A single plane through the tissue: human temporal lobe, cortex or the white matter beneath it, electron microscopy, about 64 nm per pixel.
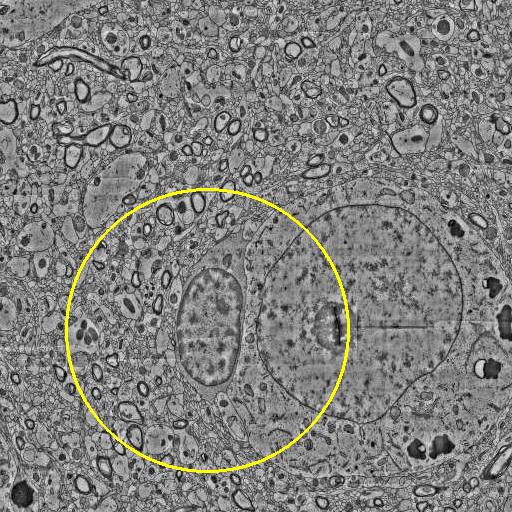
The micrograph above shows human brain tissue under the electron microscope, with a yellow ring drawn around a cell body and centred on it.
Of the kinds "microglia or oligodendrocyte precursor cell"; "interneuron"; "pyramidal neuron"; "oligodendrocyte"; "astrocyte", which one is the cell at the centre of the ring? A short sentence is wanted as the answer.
The one at the centre of the ring is an oligodendrocyte.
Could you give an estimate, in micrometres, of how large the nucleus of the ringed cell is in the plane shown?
About 8 by 4 micrometers; the nucleus is clearly longer than it is wide in this plane.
